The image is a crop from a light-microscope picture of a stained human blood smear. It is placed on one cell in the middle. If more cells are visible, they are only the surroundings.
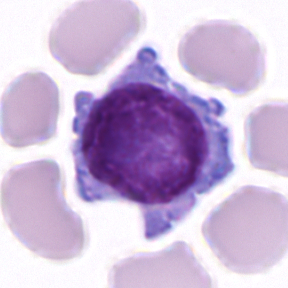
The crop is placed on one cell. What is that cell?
plasma cell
